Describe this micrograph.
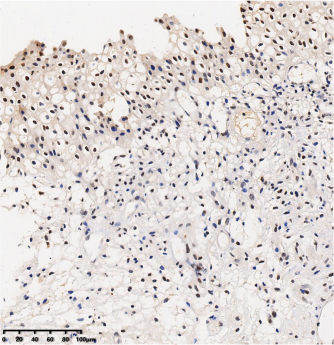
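The surface cells are packed in several layers and have round to oval nuclei, many of which are stained brown, while their cytoplasm is pale and clear-looking. Below the surface the tissue is looser, with scattered cells whose nuclei are either brown or blue, set in pale, lightly tinted matrix. Brown colour is largely confined to nuclei rather than cytoplasm, and overall staining is patchy rather than uniform across the field.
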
